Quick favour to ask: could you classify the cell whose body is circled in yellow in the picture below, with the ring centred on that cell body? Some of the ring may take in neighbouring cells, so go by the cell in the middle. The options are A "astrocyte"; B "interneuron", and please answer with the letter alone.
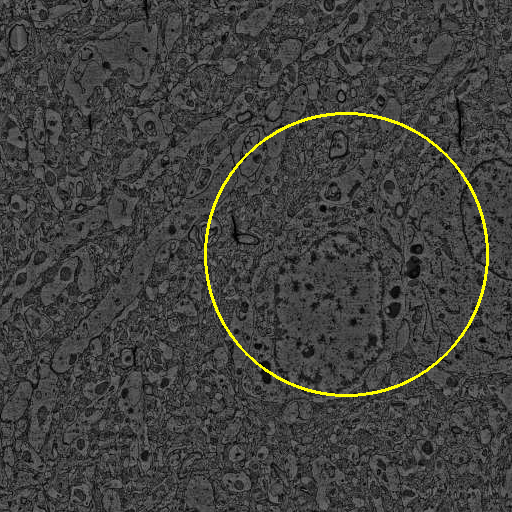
B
